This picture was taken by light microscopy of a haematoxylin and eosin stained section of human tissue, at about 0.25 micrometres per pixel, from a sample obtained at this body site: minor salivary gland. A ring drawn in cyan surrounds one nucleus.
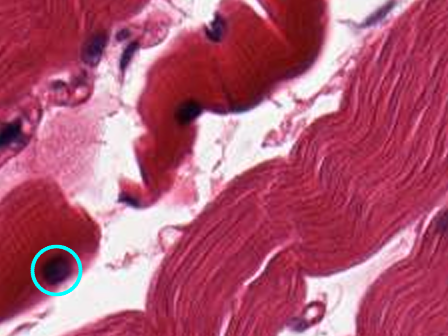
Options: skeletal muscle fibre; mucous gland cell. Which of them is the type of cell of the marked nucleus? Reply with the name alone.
skeletal muscle fibre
